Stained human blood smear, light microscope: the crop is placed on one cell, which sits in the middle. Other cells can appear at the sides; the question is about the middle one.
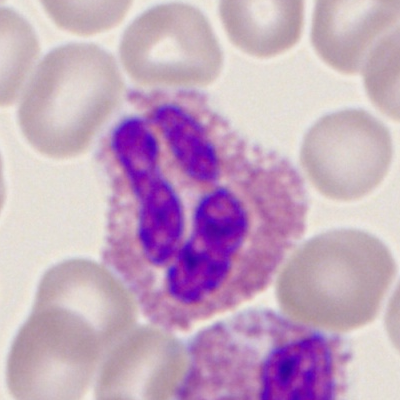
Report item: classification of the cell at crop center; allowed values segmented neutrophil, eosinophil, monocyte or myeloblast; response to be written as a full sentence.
In this crop, the cell at the very middle is an eosinophil.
